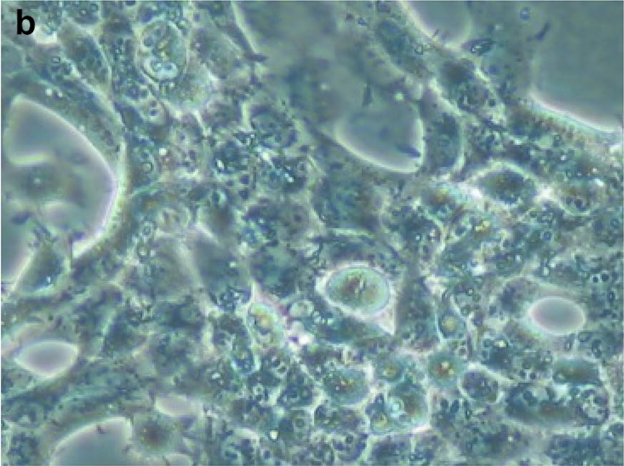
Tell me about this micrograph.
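The cells are rounded to polygonal, with round nuclei and granular cytoplasm, crowded together in the centre of the field. Along the edges of the open spaces the cell margins appear bright, and small rounded cell-free holes also lie within the cell mass. A few cells look larger and more rounded, with refractile outlines. Unlike an even continuous sheet, the coverage here is broken, the start of a network of cellular strands.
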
